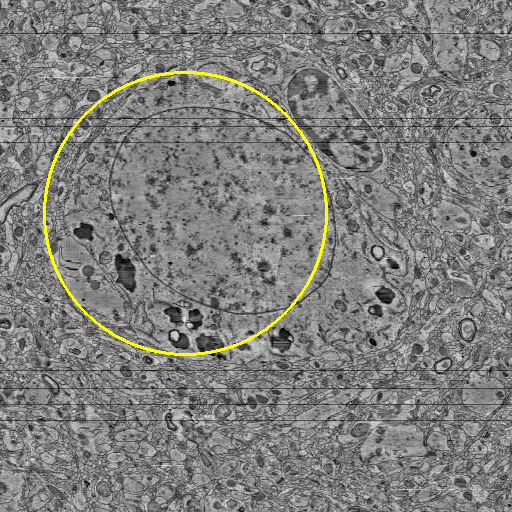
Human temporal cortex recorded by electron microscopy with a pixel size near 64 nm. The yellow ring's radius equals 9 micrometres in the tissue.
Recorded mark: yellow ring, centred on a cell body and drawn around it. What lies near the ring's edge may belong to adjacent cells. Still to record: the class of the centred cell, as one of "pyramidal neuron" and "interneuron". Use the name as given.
pyramidal neuron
